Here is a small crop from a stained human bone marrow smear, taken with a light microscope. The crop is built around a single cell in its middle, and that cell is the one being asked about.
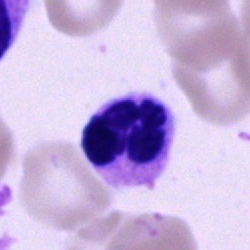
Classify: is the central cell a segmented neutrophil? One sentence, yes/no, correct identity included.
Yes, the cell in the central position is a segmented neutrophil.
